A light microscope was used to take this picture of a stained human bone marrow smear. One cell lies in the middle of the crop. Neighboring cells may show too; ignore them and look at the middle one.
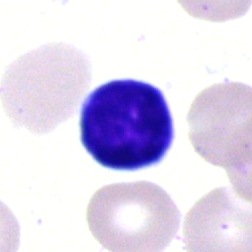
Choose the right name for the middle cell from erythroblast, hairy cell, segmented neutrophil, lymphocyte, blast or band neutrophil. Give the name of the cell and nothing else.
lymphocyte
